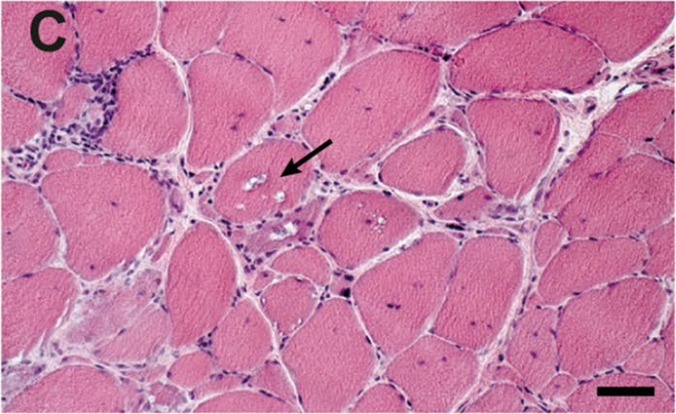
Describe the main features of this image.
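This is skeletal muscle in cross section, with pink polygonal fibres of clearly varying size. Several fibres are small and rounded or angular next to larger ones, and the spaces between fibres are widened with pale connective tissue. At the upper left a dense cluster of small dark round nuclei sits between the fibres, and more such nuclei are scattered in the interstitium. Near the centre one fibre contains several small clear holes with ragged edges within its cytoplasm, and a neighbouring fibre shows similar holes.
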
